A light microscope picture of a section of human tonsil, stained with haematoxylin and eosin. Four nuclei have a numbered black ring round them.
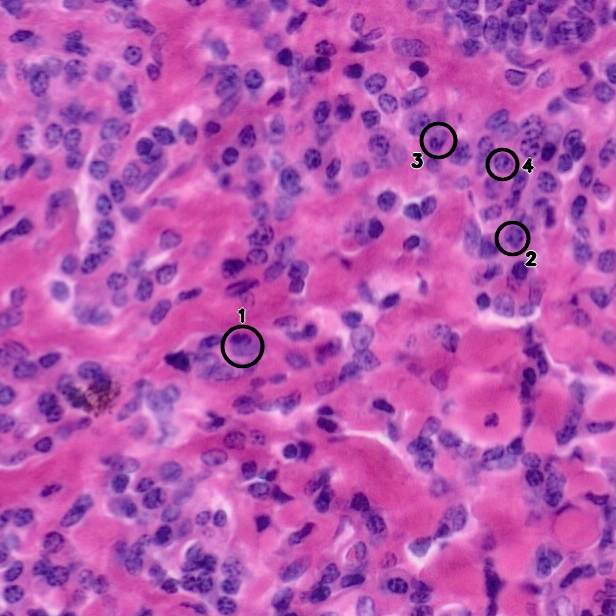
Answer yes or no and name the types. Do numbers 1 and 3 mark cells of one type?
No, cell 3 is a plasma cell, while cell 1 is an endothelial cell.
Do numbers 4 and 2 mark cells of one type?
Yes, just like cell 4, cell 2 is one of the plasma cells.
